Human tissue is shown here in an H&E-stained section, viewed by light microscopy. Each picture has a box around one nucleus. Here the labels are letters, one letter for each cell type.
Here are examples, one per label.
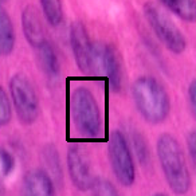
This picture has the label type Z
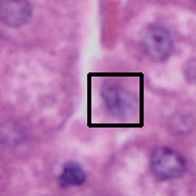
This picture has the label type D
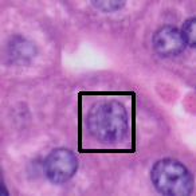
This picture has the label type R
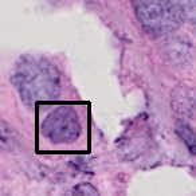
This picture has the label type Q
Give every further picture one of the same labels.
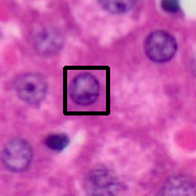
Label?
type R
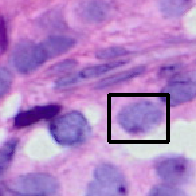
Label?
type Q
